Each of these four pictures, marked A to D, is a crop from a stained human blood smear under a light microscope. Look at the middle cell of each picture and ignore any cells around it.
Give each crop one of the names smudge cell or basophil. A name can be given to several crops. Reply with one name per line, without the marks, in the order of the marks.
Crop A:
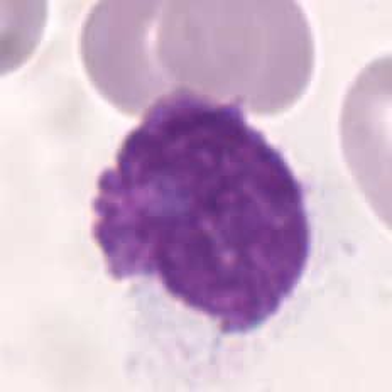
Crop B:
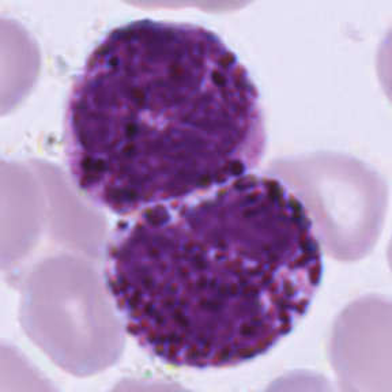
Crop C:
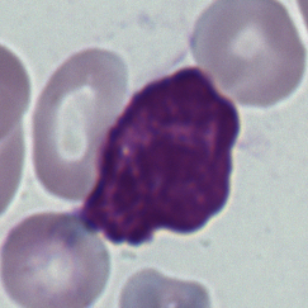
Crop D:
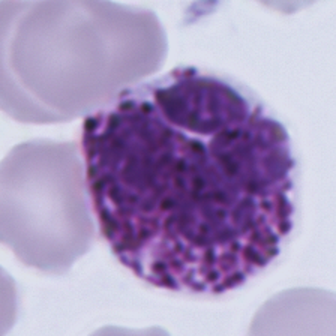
smudge cell
basophil
smudge cell
basophil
